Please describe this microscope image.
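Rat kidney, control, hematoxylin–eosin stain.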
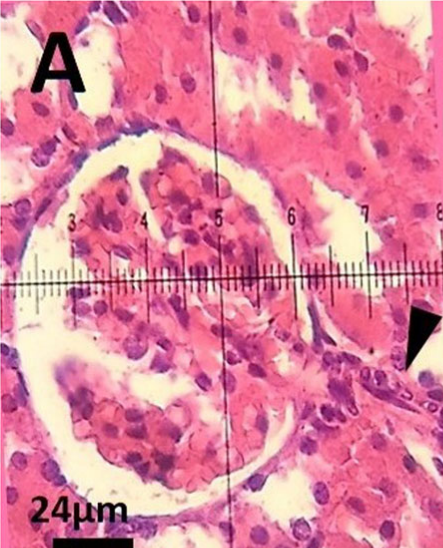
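This is renal cortex showing a glomerulus and surrounding proximal tubules. The glomerulus is a rounded tuft of capillary loops crowded with purple nuclei, enclosed by a thin capsule and separated from it by a clear urinary space. Around it lie tubules lined by cuboidal cells with abundant pink, granular cytoplasm and round, centrally placed purple nuclei; their lumina are narrow and irregular. Near the glomerulus a tubule segment shows cells with closely packed, crowded nuclei, in keeping with the macula densa. The overall architecture appears orderly without visible casts or damage.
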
